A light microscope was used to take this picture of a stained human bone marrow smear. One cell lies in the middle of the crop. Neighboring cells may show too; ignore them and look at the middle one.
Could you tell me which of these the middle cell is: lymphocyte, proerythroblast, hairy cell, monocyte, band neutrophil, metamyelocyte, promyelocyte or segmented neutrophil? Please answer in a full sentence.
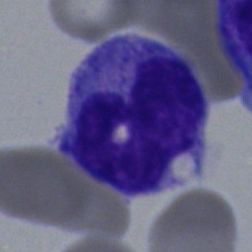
The cell under consideration, at the middle of the crop, is a monocyte.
